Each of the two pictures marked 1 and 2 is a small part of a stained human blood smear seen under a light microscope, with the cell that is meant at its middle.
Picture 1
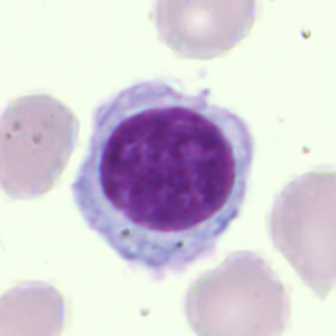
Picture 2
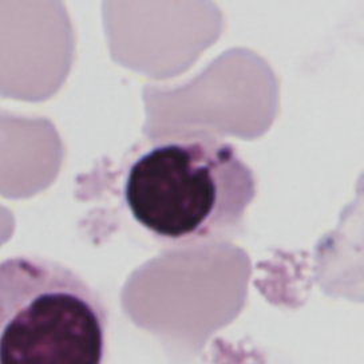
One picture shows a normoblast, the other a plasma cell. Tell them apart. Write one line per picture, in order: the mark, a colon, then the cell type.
1: plasma cell
2: normoblast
